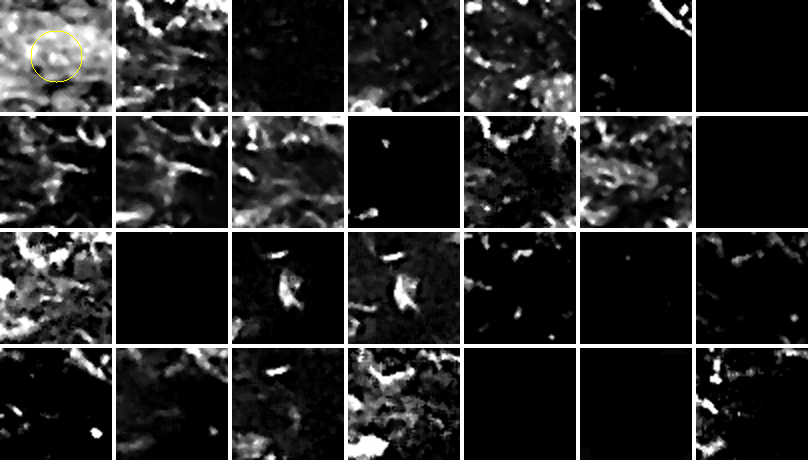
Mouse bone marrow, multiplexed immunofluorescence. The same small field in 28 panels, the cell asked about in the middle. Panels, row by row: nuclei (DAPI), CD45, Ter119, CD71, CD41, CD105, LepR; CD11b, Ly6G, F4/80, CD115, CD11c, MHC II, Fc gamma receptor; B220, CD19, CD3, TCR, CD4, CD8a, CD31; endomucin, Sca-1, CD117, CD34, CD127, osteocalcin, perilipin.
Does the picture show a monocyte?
No, it shows a double-negative T cell.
